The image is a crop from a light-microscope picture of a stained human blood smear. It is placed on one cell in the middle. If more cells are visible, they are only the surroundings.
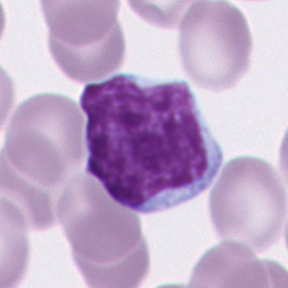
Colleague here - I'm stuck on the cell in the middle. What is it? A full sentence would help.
For this crop, the central cell is a typical lymphocyte.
